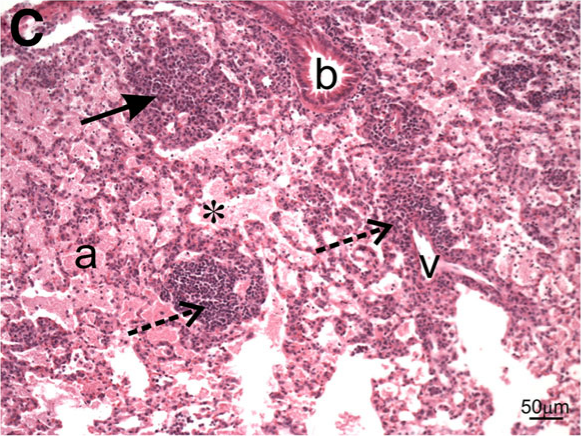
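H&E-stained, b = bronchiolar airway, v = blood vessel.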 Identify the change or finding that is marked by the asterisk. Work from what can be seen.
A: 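Alveolar spaces around the asterisk are filled with pale pink, amorphous material. The filled airspaces have lost their clear, empty appearance.
Answer: alveolar proteinosis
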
